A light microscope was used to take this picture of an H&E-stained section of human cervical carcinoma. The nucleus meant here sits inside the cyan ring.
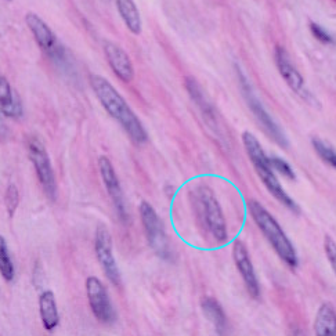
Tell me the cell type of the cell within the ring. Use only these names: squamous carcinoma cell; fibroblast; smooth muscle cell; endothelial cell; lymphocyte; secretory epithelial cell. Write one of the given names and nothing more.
smooth muscle cell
